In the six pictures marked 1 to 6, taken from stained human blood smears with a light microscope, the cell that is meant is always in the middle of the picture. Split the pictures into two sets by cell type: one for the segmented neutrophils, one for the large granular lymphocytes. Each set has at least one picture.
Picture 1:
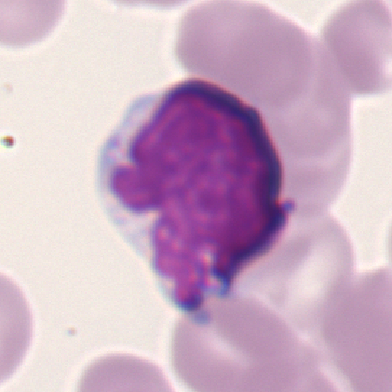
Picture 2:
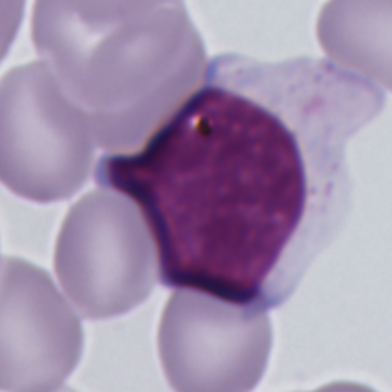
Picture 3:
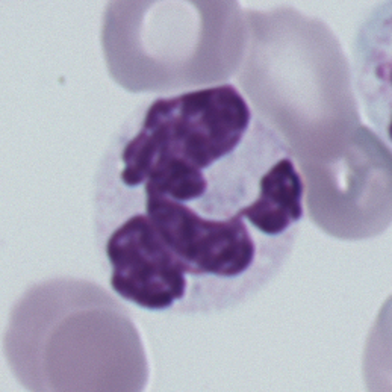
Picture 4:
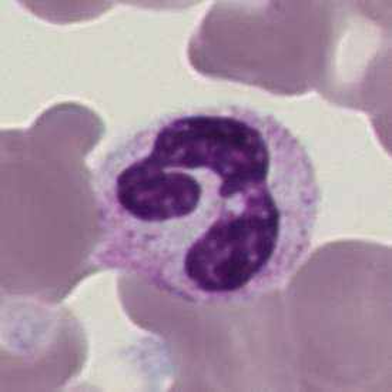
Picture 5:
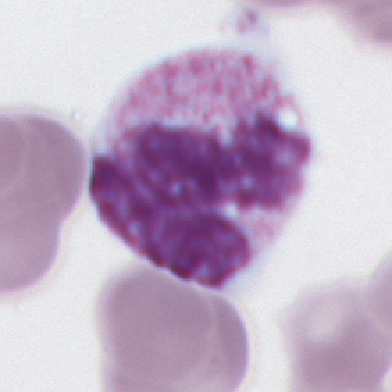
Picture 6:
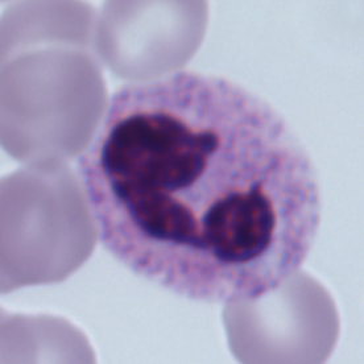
1: large granular lymphocyte
2: large granular lymphocyte
3: segmented neutrophil
4: segmented neutrophil
5: segmented neutrophil
6: segmented neutrophil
